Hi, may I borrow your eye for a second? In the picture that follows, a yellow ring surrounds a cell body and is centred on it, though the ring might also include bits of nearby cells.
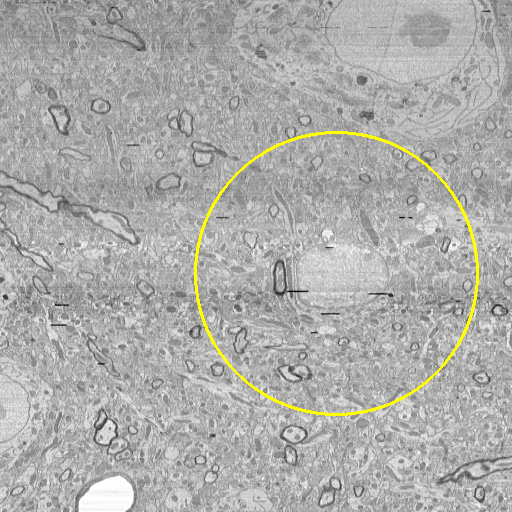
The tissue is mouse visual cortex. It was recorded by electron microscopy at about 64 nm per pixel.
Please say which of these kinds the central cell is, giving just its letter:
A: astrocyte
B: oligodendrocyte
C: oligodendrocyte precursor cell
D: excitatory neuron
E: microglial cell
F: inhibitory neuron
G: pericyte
A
